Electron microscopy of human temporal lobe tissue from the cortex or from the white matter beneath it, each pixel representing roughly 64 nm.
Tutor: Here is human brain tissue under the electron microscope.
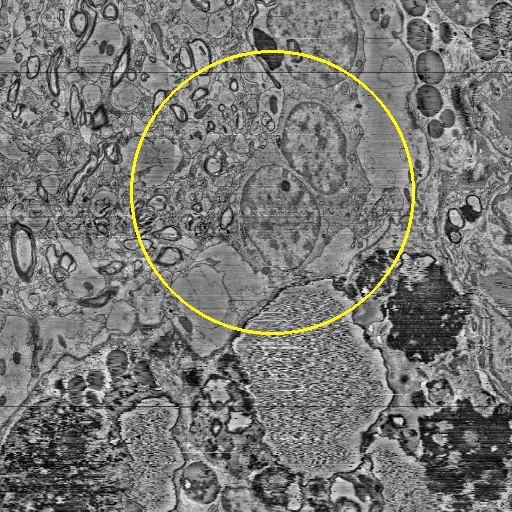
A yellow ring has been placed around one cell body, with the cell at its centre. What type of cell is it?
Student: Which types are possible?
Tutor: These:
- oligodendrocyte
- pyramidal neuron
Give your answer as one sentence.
What the ring picks out here is an oligodendrocyte.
